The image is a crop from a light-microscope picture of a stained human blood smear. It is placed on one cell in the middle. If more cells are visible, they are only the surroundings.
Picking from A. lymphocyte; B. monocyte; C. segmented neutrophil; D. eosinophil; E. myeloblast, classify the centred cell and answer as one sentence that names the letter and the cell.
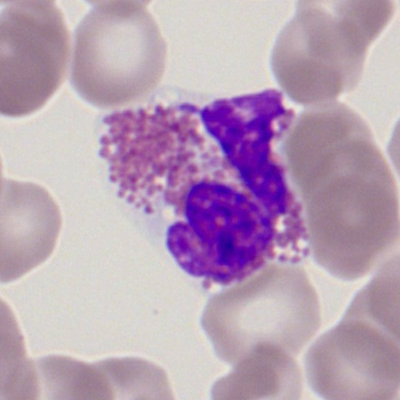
The middle cell of the crop is an eosinophil; accordingly, option D is correct.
